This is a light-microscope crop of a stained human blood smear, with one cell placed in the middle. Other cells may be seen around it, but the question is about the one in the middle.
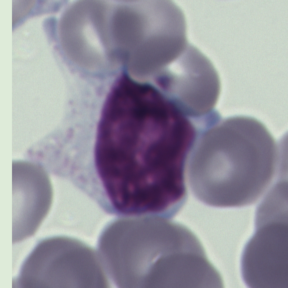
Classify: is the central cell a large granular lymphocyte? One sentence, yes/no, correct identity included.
Yes, as regards the cell in the middle, it is a large granular lymphocyte.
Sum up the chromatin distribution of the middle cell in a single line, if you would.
Answer: the chromatin in this nucleus is coarsely clumped.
